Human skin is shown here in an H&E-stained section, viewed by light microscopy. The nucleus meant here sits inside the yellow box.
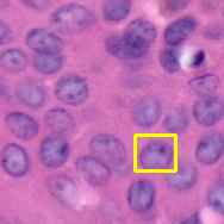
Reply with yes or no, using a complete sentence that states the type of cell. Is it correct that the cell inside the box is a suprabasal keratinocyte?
Yes, the cell inside the box is recognized as a suprabasal keratinocyte in this section.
